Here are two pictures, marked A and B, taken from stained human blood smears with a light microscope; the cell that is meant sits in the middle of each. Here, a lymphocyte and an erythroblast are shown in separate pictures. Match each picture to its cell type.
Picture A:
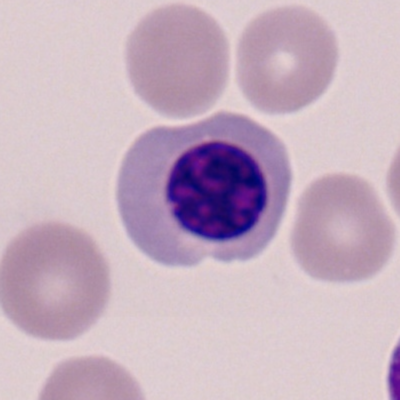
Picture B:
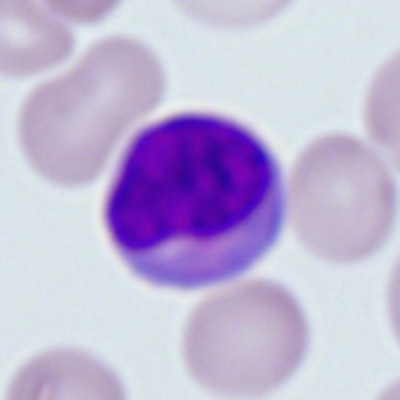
A: erythroblast
B: lymphocyte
